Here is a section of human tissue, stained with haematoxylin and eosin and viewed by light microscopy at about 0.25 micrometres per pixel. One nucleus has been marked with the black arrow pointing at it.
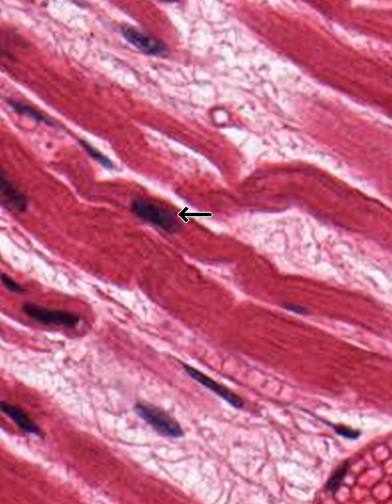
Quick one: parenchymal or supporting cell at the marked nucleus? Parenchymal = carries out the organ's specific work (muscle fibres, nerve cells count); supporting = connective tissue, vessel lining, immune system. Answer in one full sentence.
The cell bearing the marked nucleus is a parenchymal cell, namely a cardiomyocyte.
